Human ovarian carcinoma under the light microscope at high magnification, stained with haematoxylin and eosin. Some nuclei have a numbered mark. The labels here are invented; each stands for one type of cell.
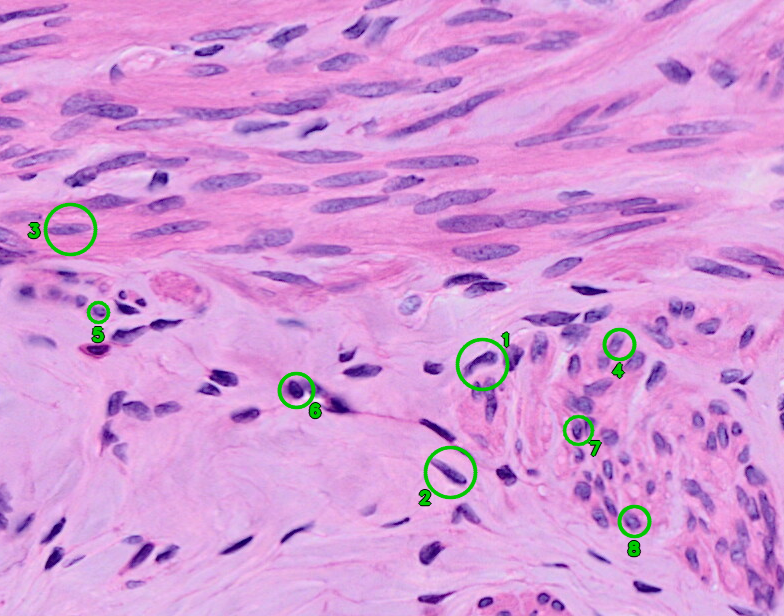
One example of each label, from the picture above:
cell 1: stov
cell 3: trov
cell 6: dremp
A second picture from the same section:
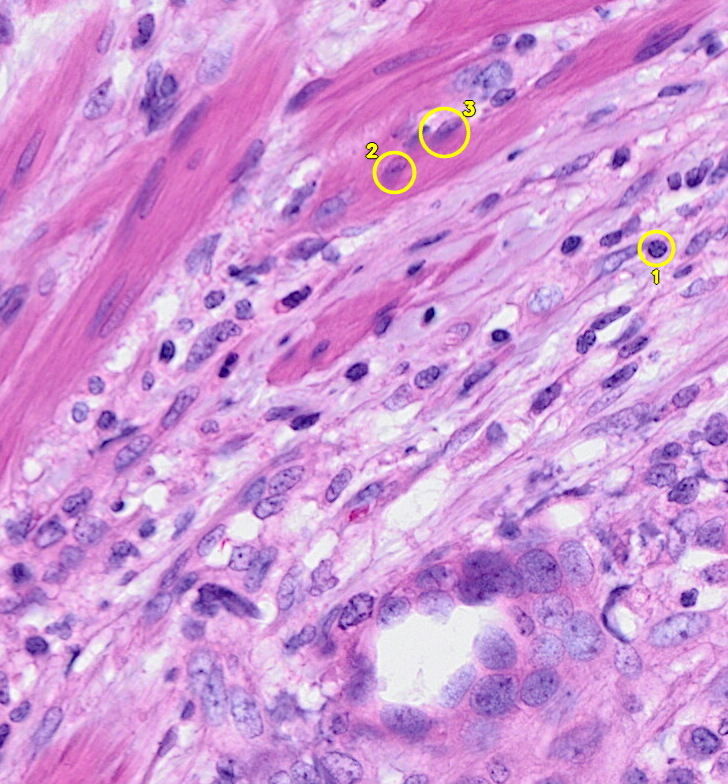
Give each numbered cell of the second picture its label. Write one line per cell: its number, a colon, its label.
1: dremp
2: trov
3: trov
